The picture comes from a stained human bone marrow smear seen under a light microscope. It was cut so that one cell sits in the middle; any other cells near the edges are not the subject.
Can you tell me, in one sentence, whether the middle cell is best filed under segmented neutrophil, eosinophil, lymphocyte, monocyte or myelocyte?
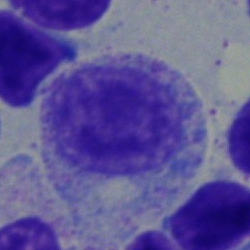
Seen at the centre of the crop is a myelocyte.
